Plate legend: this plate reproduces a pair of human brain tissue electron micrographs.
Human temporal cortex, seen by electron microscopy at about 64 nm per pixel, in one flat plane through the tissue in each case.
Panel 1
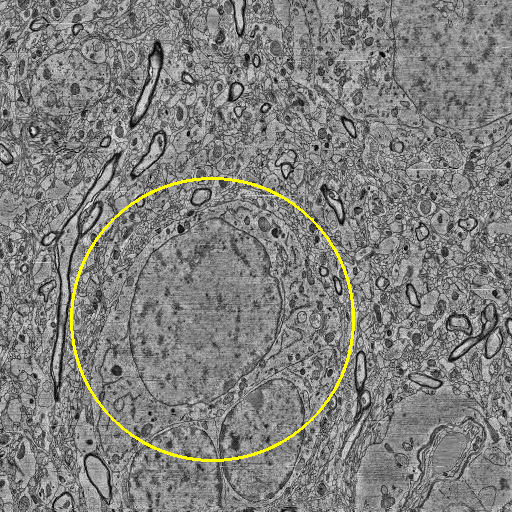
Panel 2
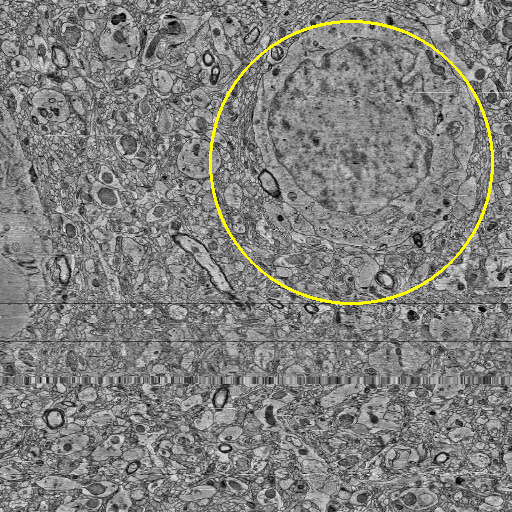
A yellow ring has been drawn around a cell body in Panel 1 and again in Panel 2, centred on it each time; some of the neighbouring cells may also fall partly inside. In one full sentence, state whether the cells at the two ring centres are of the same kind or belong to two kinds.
The ring-centred cells of Panel 1 and Panel 2 belong to two kinds.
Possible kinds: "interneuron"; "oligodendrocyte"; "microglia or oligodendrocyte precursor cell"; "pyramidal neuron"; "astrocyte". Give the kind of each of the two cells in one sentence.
The cell in the second picture is an interneuron, and that in the first is a pyramidal neuron.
